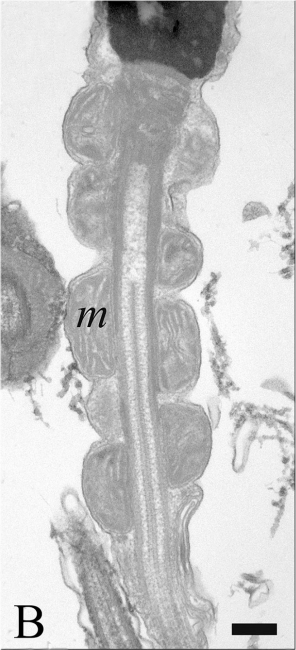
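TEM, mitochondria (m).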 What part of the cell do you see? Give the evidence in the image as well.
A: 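A longitudinal section of a tail segment below a dark head. A central filament core runs down the middle. Large cristae-bearing bodies line both sides of the core.
Hence: midpiece.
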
